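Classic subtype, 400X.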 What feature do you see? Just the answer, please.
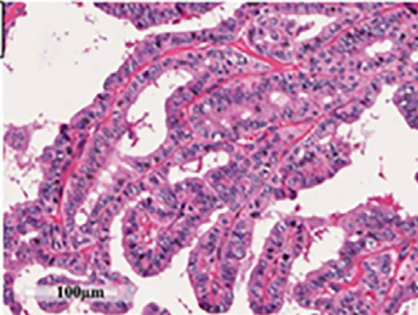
Papillae with fibrovascular core.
